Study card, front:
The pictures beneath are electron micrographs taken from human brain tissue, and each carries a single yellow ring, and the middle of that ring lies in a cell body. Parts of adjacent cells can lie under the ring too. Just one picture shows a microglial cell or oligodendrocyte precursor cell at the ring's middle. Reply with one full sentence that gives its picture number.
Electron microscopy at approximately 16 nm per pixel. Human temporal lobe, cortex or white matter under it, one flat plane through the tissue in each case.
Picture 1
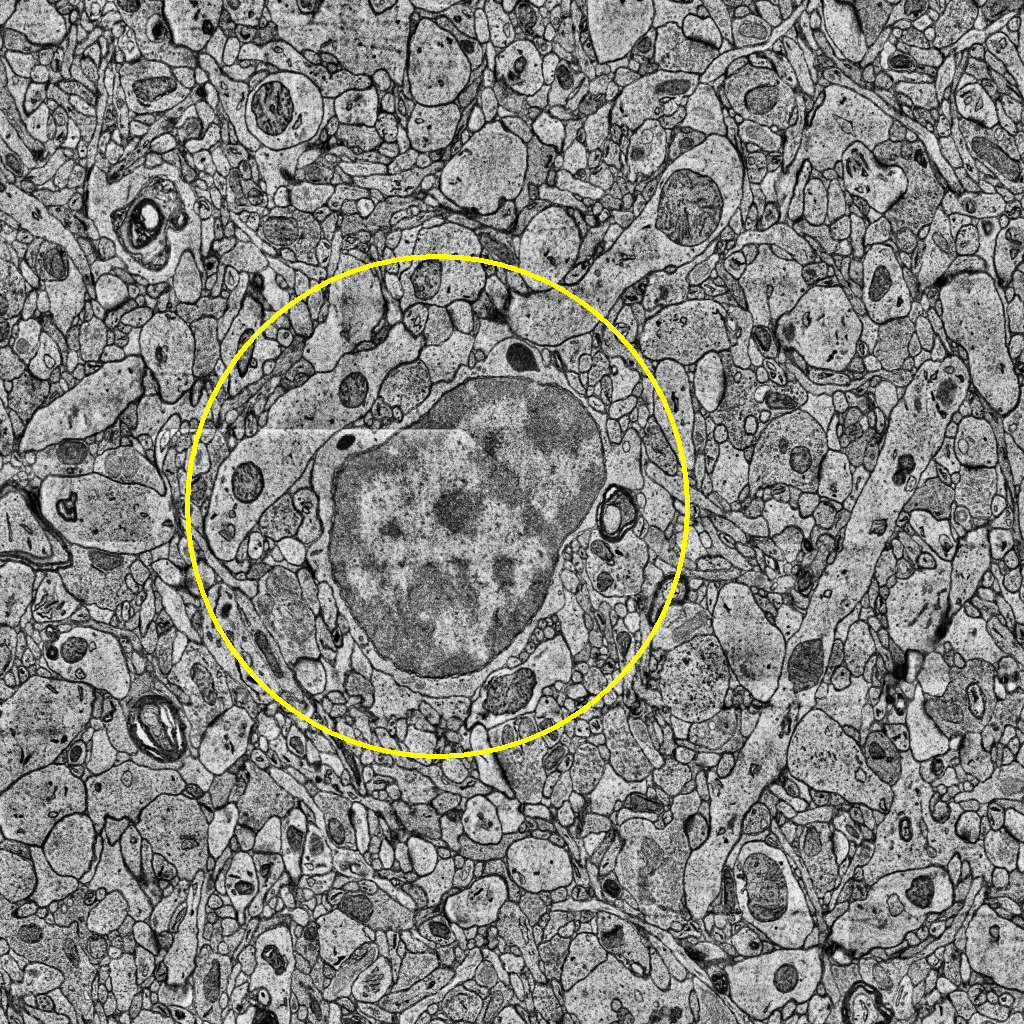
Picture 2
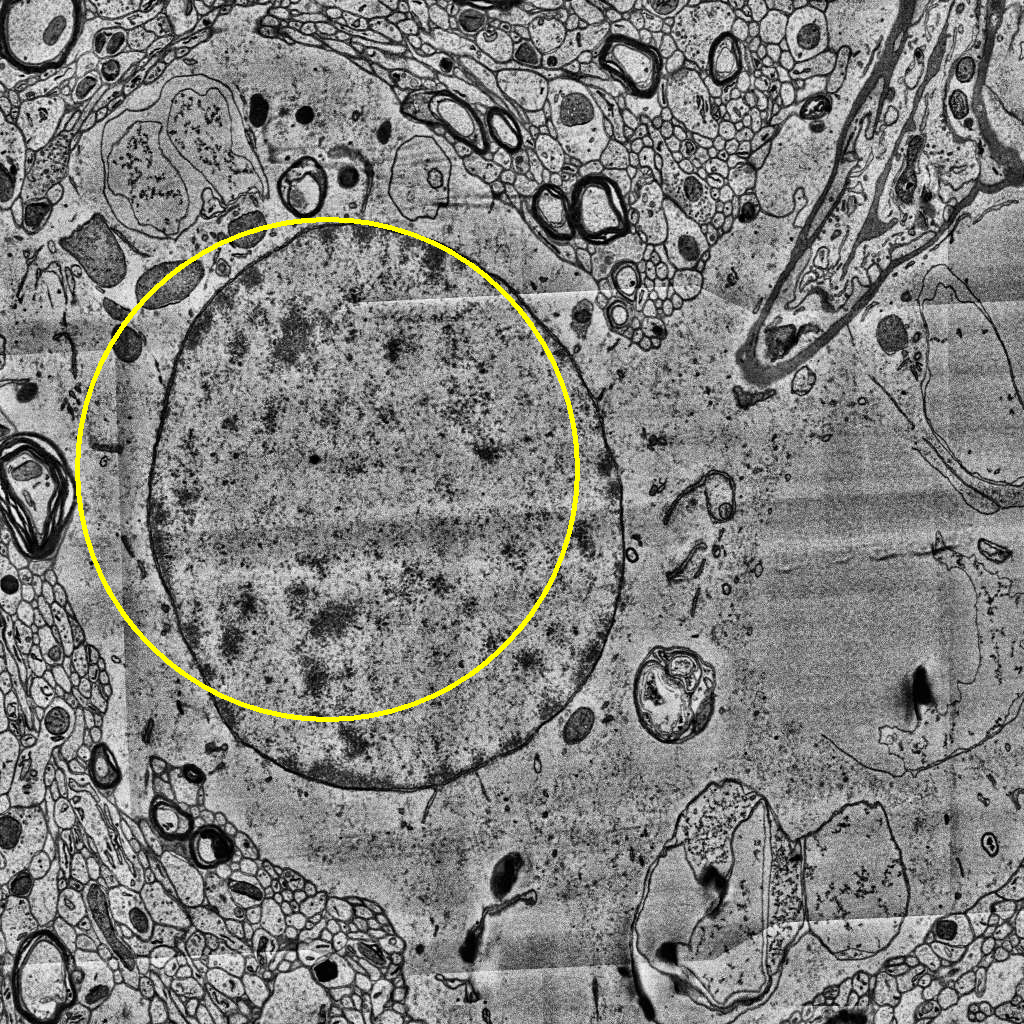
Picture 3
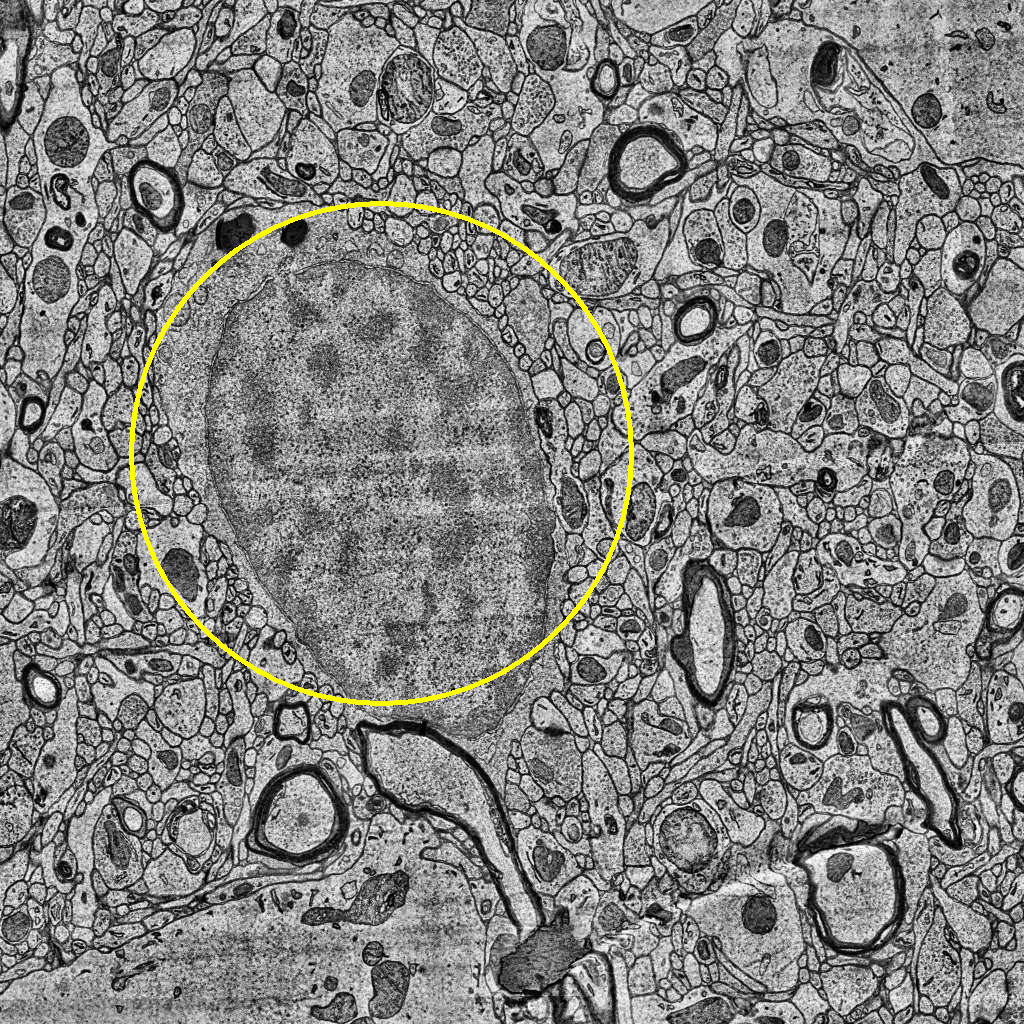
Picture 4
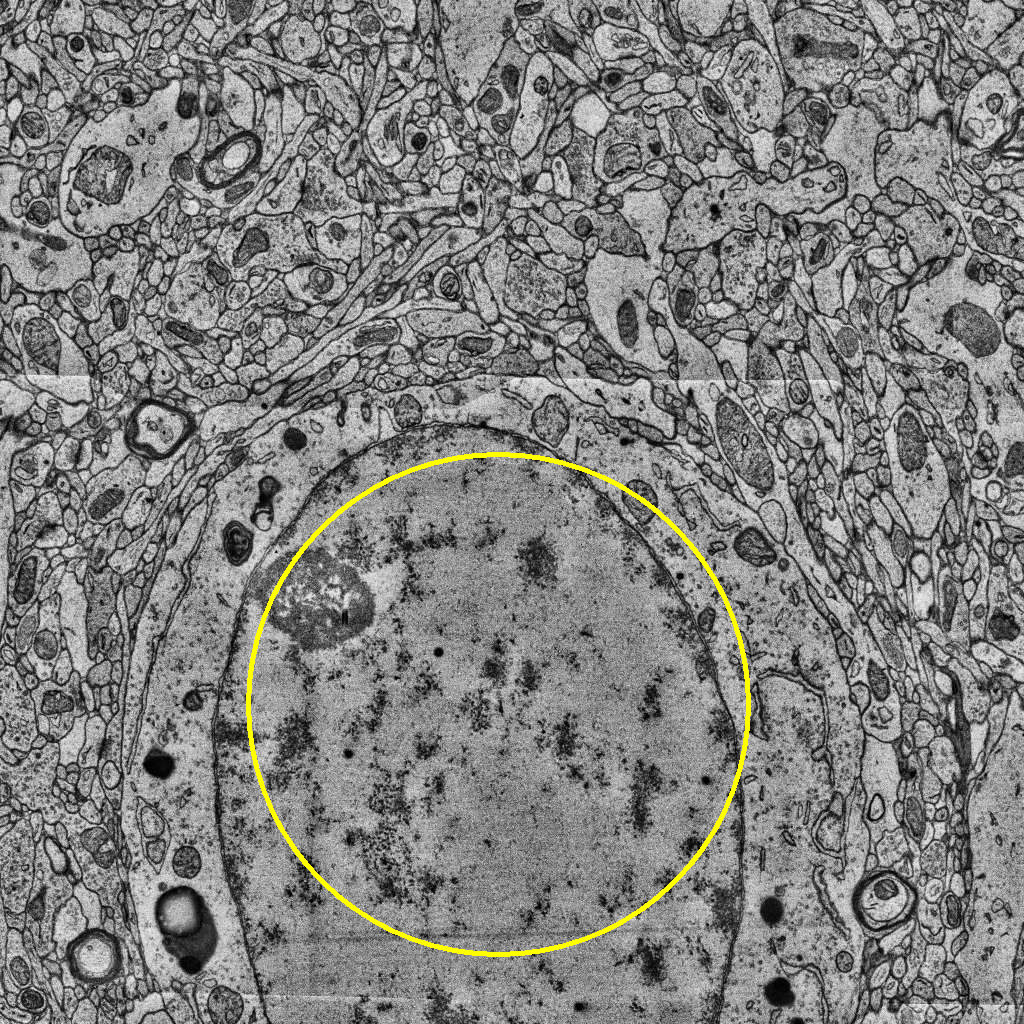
Picture 1 is the one whose ring has its centre within the requested cell.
